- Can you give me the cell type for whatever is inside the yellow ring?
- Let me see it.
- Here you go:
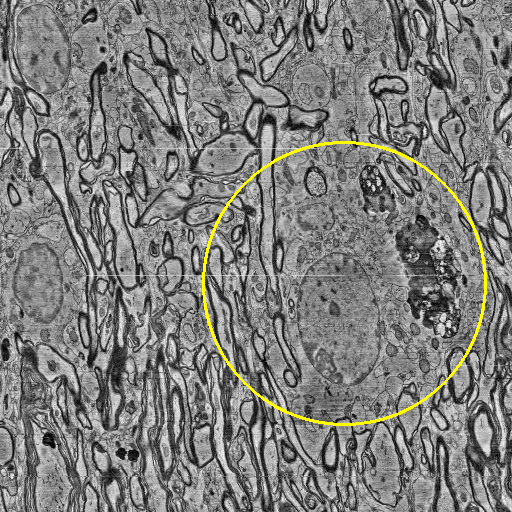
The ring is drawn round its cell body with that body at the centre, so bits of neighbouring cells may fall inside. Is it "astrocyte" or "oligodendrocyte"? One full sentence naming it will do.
The cell body in the middle of the ring in this picture belongs to an astrocyte.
